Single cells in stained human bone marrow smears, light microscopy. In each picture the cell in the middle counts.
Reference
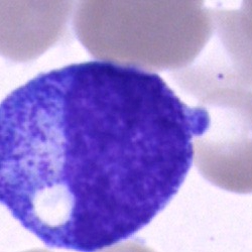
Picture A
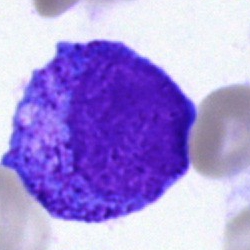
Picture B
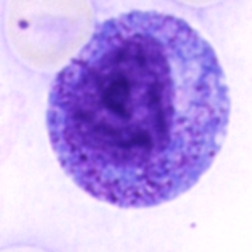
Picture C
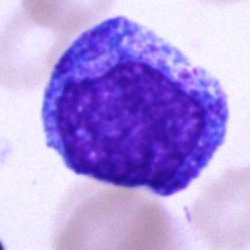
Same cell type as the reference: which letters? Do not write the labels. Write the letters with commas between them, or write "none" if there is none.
A, B, C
